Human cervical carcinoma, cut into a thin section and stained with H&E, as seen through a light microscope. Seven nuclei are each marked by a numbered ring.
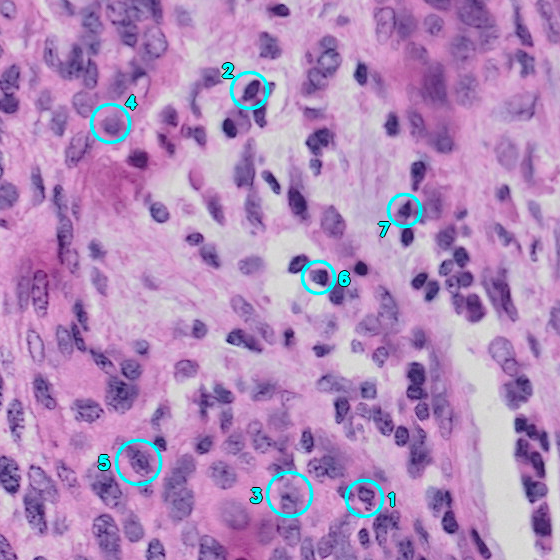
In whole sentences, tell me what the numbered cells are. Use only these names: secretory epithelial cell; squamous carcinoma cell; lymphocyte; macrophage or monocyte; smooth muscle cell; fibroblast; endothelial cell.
Cells 1, 3, 4 and 5 are squamous carcinoma cells. Cells 2, 6 and 7 are lymphocytes.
